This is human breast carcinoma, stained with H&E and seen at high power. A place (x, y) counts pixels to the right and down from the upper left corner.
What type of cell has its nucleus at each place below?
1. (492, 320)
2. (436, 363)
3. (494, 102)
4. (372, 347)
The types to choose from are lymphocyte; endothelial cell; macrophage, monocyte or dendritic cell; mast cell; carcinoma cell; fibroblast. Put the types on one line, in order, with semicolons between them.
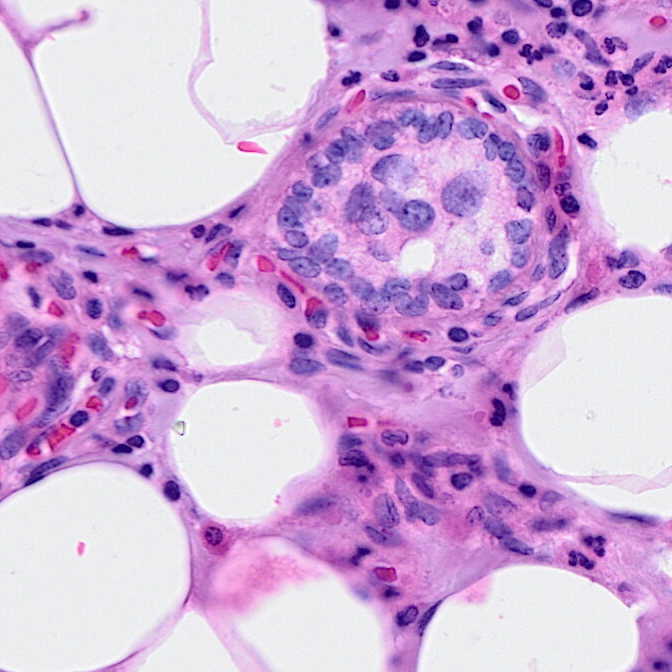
endothelial cell; lymphocyte; endothelial cell; endothelial cell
